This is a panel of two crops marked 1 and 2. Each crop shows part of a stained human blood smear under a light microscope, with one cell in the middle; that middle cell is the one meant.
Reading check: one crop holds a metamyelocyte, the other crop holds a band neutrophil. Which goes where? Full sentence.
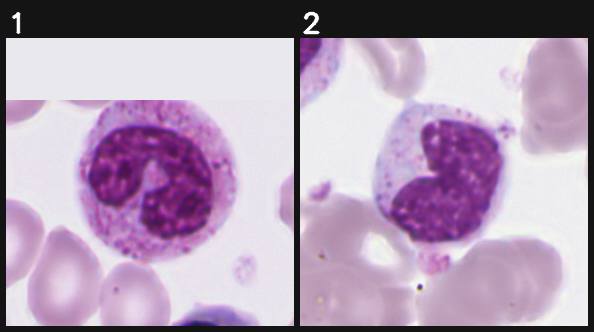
Crop 2 shows a metamyelocyte, and crop 1 shows a band neutrophil.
